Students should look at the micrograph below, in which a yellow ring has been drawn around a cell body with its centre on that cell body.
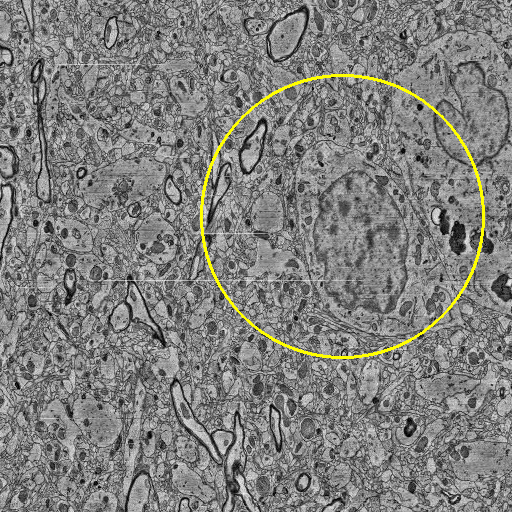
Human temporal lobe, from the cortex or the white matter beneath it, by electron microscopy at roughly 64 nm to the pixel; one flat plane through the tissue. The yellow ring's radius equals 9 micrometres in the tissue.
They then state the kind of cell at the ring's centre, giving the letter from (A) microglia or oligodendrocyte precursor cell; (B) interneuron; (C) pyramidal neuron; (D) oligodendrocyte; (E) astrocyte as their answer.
B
